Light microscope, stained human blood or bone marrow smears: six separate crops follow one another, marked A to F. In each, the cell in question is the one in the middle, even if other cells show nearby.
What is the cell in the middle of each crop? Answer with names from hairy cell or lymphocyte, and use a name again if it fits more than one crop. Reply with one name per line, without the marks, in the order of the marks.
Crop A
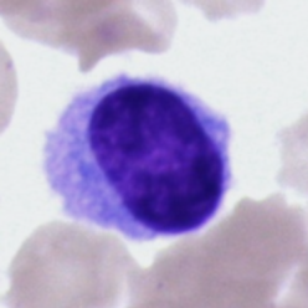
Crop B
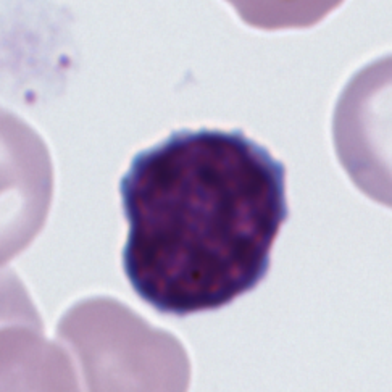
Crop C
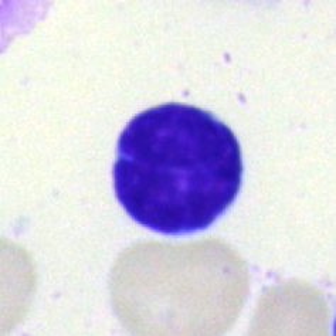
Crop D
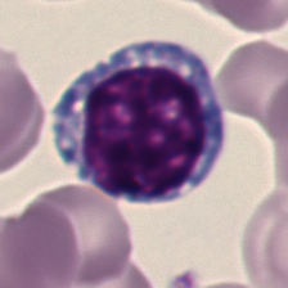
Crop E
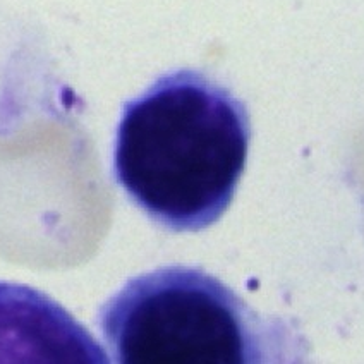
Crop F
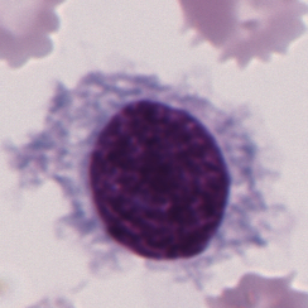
hairy cell
lymphocyte
lymphocyte
lymphocyte
lymphocyte
hairy cell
